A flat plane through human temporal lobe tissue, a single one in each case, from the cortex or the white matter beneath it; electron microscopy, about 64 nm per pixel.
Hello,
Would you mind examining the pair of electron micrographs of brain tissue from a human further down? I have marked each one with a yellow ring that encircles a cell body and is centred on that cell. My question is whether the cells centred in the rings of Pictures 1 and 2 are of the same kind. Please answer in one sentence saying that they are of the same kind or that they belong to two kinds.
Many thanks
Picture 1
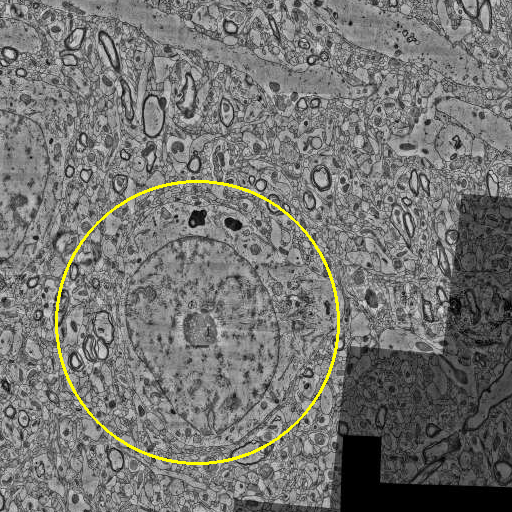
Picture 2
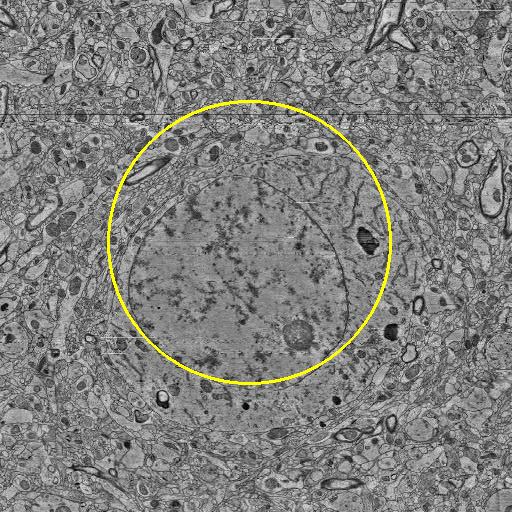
In Pictures 1 and 2, the cells at the heart of the rings are of the same kind.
